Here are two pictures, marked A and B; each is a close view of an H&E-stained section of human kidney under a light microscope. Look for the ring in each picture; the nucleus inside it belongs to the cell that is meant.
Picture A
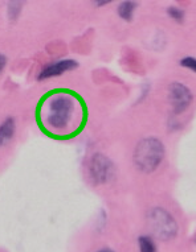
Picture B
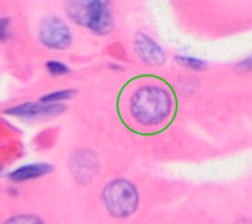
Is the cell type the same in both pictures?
no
